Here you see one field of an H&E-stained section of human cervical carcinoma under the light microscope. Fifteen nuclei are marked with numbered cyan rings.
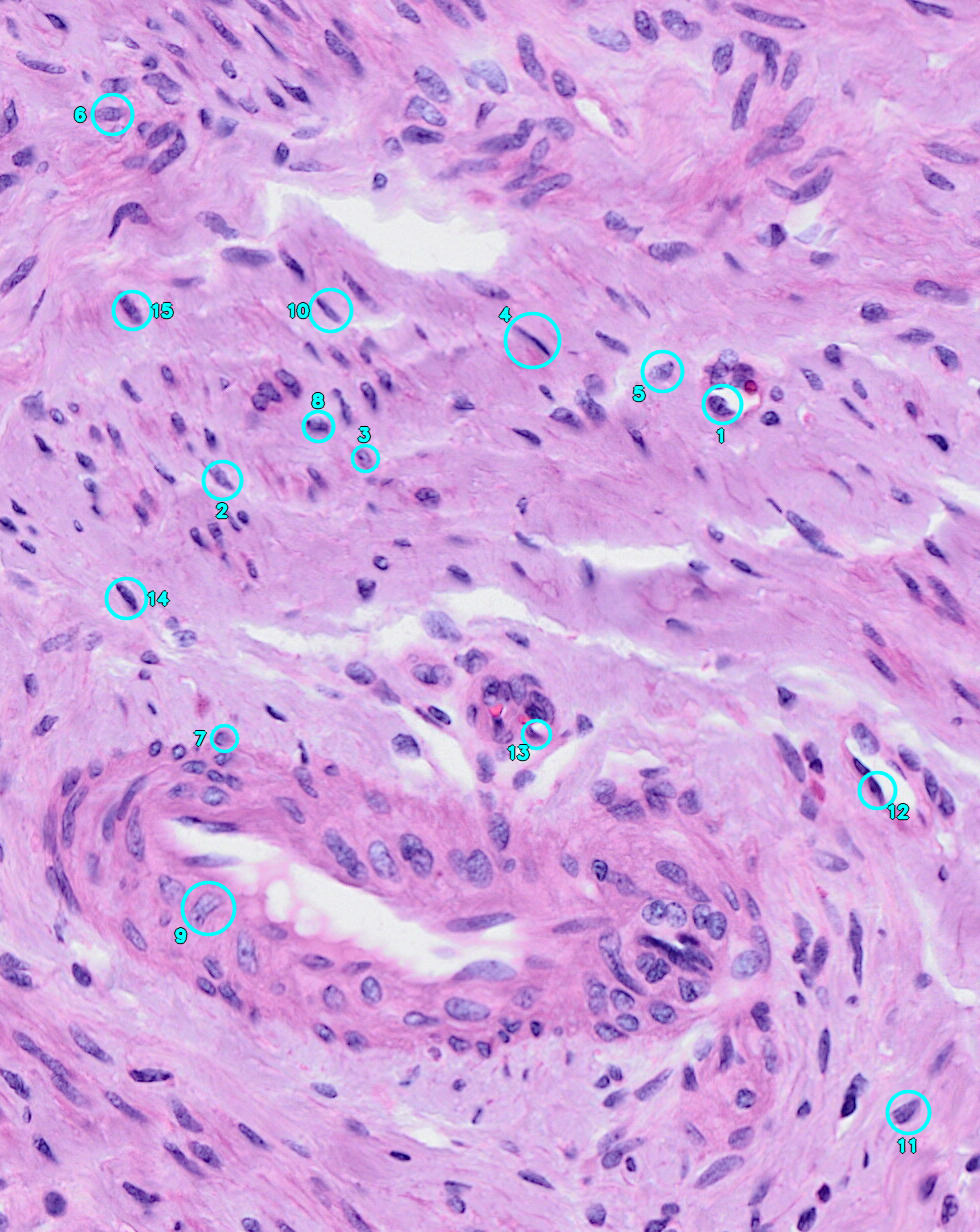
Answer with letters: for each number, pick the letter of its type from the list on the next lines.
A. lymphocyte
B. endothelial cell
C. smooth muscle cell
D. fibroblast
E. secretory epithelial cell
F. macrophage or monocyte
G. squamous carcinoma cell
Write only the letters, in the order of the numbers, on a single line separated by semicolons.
B; D; C; D; D; C; C; D; C; D; D; B; B; D; C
